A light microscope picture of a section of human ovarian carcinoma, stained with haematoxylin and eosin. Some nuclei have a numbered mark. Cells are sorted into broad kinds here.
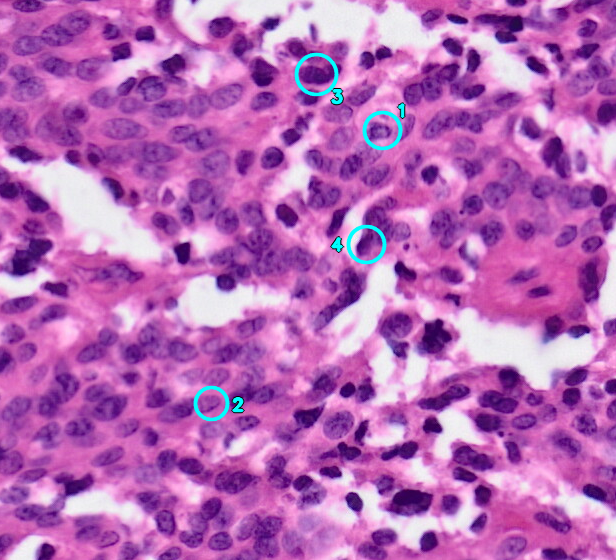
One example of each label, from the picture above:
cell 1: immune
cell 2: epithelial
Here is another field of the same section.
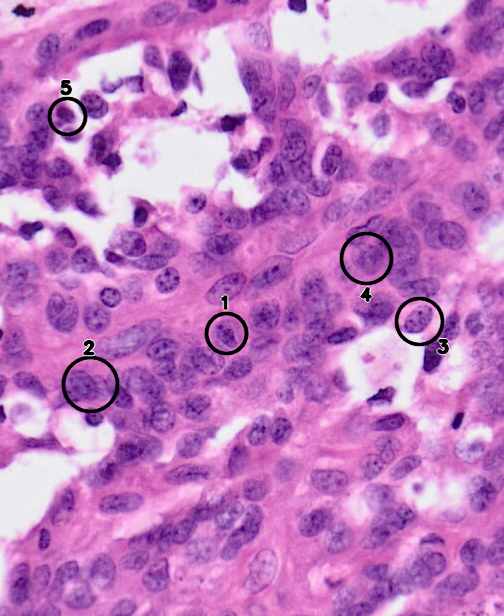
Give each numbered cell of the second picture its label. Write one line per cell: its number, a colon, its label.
1: immune
2: epithelial
3: immune
4: epithelial
5: epithelial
